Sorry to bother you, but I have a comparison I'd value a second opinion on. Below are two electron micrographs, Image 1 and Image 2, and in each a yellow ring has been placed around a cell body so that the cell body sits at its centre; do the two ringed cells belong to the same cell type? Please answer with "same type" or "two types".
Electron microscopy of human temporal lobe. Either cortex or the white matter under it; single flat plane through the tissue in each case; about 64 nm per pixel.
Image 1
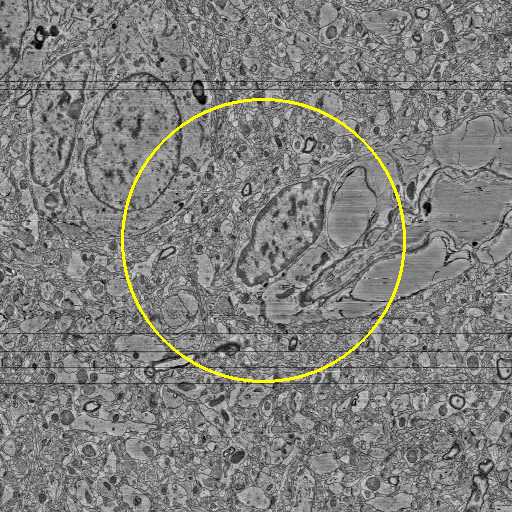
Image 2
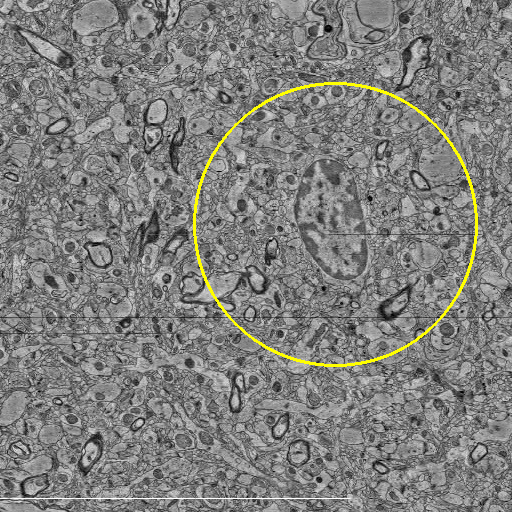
same type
